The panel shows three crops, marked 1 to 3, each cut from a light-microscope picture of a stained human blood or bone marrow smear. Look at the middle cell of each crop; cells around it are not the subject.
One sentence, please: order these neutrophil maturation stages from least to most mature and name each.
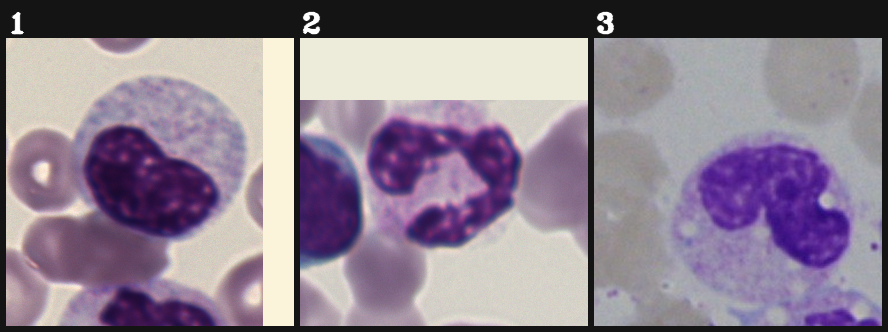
The ordering by maturity, least to greatest, is crop 1 (a metamyelocyte), crop 3 (a band neutrophil) and crop 2 (a segmented neutrophil).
